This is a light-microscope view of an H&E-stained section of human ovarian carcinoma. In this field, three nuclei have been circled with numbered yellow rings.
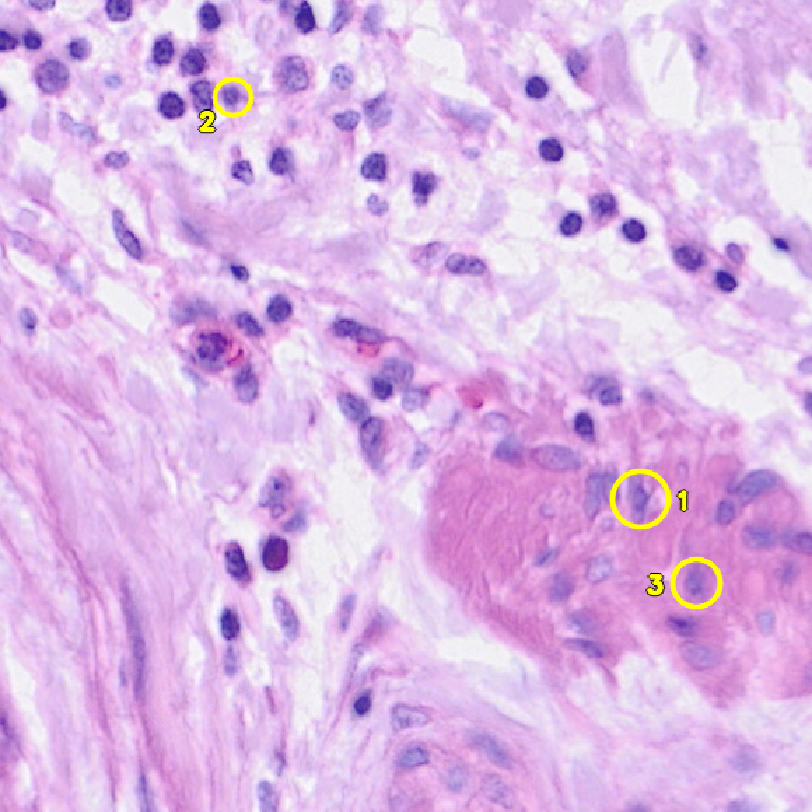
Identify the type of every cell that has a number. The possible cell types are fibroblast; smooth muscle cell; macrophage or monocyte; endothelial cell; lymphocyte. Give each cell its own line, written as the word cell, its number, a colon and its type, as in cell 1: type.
cell 1: smooth muscle cell
cell 2: lymphocyte
cell 3: smooth muscle cell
